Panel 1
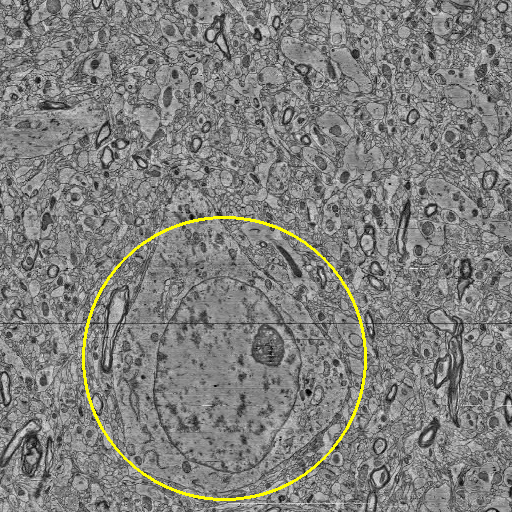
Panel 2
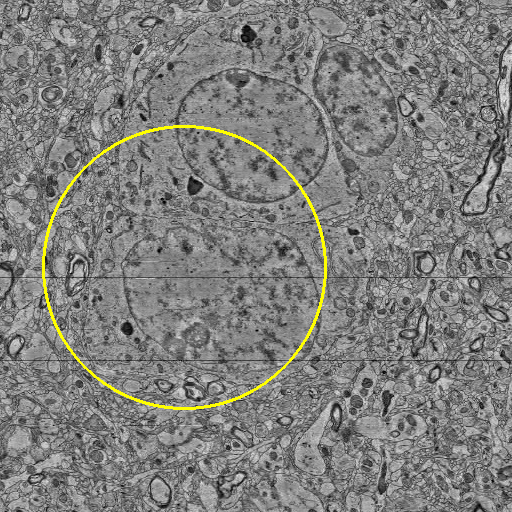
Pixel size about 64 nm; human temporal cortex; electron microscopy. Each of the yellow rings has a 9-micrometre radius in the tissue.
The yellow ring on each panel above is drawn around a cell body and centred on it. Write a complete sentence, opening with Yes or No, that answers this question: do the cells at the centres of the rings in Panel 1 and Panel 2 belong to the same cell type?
No, the two cells belong to two cell types.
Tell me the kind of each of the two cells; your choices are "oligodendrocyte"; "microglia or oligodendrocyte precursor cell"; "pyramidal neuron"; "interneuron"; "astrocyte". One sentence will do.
The ringed cell is a pyramidal neuron in the first picture and an interneuron in the second picture.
